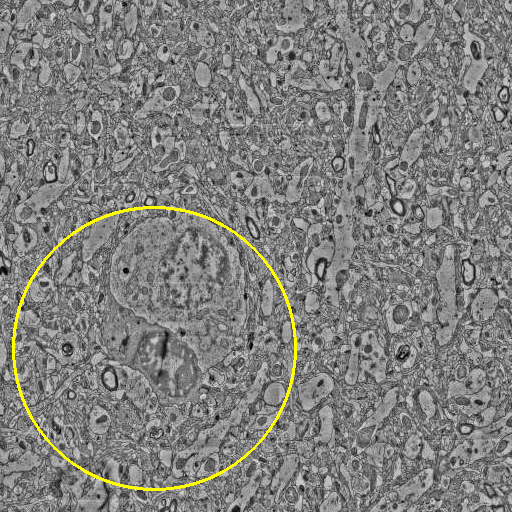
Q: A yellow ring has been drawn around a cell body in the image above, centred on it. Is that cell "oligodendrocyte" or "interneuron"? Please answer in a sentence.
The ring surrounds the cell body of an oligodendrocyte.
